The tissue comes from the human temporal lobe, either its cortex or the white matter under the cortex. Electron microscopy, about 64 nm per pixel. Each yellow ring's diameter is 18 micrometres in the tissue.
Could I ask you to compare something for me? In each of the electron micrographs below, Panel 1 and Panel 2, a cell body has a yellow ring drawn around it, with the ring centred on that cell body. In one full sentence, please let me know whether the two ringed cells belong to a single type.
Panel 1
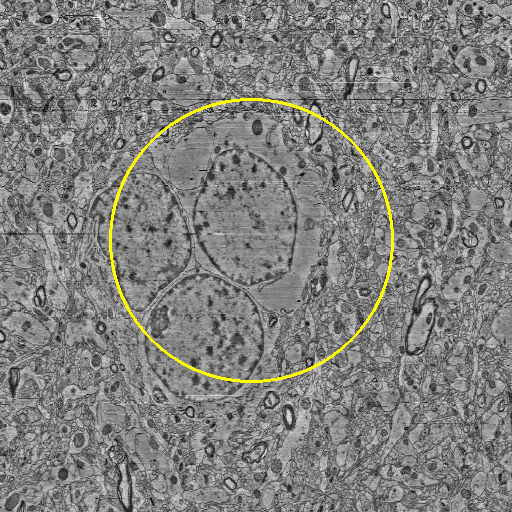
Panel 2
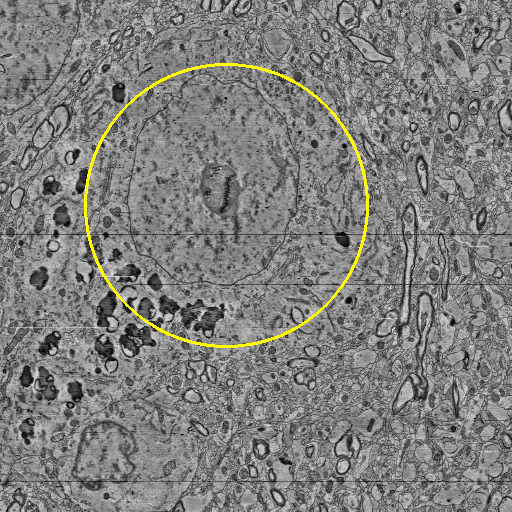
No, the two cells at the centres of the rings are of two types.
